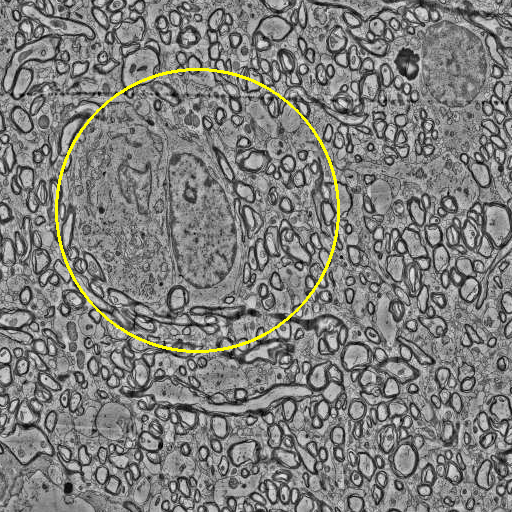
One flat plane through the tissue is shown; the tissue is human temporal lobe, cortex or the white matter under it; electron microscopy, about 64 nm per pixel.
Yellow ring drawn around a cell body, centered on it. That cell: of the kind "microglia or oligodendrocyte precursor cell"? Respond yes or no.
yes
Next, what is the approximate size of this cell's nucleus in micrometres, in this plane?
In this plane the nucleus measures roughly 9 by 4 micrometres.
